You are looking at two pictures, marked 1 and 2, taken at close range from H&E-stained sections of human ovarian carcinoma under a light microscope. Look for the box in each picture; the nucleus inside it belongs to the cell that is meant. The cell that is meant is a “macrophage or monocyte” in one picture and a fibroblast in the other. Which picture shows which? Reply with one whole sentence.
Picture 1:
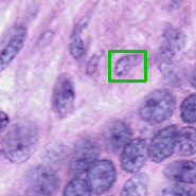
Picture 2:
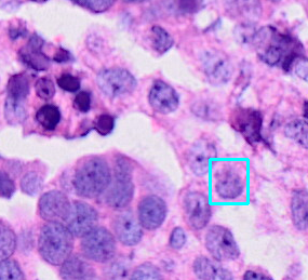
It is picture 1 that shows a fibroblast, and picture 2 that shows a “macrophage or monocyte”.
